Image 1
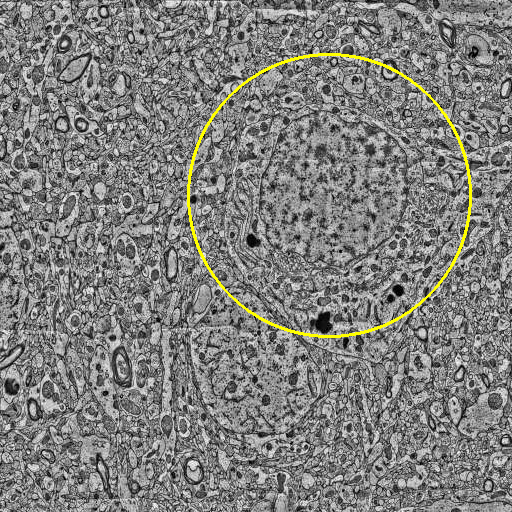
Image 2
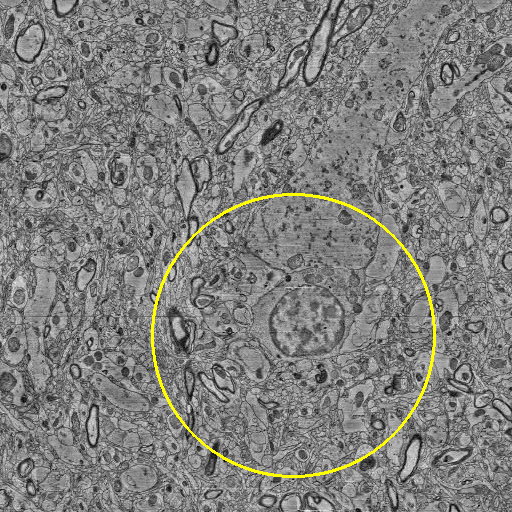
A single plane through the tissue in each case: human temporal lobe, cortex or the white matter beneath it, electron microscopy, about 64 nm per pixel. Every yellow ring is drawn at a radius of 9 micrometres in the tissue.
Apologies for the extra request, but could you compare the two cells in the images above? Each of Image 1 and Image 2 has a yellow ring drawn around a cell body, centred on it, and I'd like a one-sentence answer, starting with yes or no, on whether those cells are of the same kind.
No, the two cells are of two kinds.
